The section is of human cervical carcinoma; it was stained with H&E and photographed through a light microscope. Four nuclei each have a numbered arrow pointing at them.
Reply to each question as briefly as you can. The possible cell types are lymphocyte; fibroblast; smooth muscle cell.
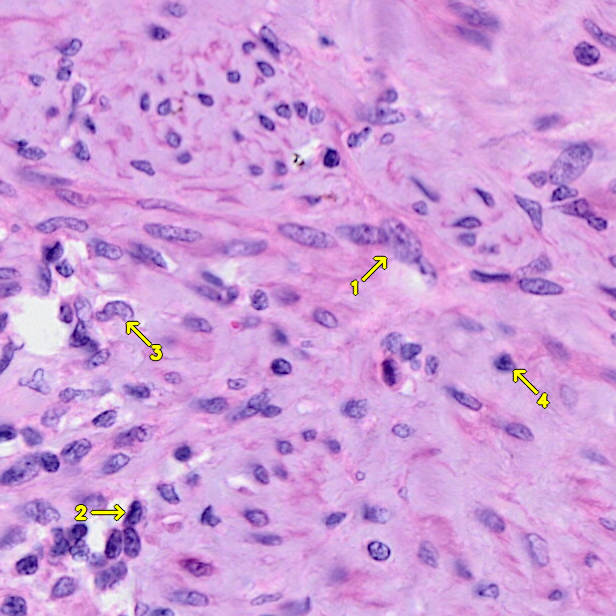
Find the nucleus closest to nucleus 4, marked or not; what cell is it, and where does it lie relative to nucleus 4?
a fibroblast, above nucleus 4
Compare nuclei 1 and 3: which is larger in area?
1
